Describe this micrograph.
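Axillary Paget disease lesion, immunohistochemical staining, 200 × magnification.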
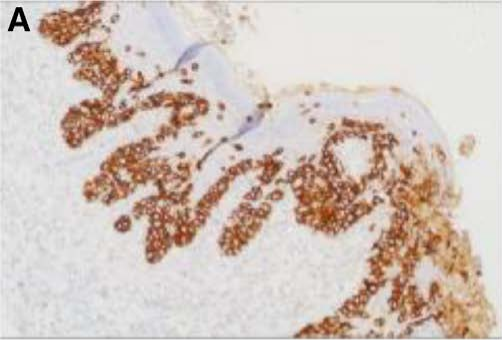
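The cells stain brown and many have paler centres, giving a bubbly appearance. They lie in crowded nests and confluent bands that follow the epidermis, including elongated projections that extend downward. The thin surface layer on top is unstained and pale blue. The tissue beneath is pale and largely unstained.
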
